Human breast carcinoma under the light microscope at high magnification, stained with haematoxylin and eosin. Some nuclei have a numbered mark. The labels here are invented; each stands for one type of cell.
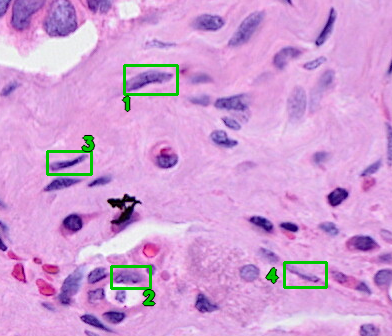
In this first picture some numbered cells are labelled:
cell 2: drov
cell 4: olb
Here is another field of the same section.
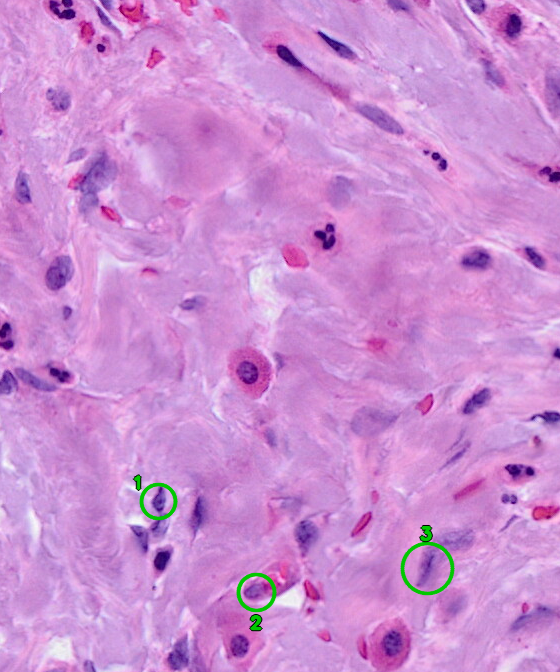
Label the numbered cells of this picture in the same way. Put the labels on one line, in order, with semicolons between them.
olb; drov; olb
